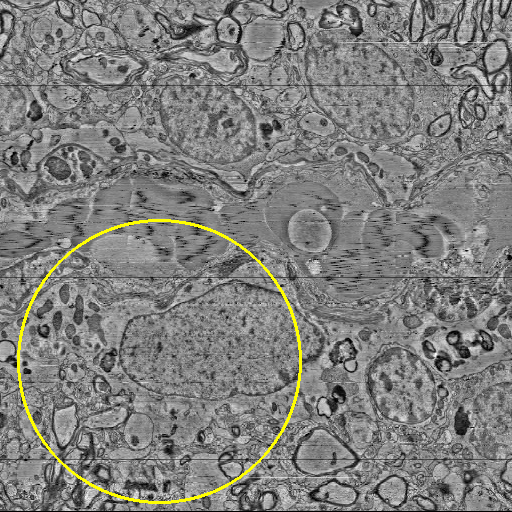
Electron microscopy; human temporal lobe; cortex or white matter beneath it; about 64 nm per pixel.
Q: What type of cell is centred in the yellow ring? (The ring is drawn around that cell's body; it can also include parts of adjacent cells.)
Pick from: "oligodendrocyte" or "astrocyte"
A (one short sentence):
The yellow ring is centred on an astrocyte.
